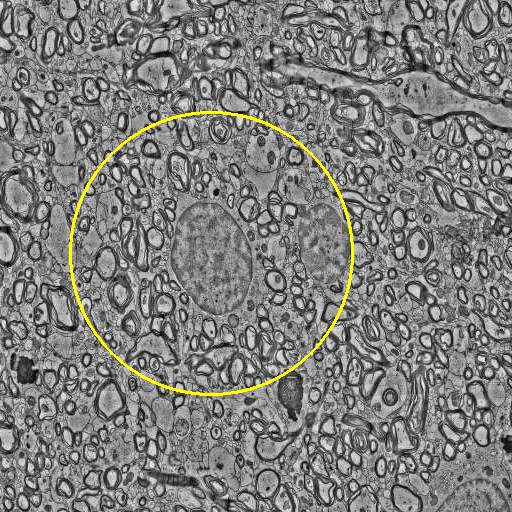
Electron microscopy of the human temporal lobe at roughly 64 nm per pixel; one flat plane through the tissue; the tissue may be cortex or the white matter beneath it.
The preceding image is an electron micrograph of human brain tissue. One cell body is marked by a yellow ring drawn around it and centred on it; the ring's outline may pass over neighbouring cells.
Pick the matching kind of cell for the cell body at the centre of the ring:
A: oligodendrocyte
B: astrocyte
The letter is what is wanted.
A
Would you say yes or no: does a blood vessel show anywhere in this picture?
No, there is no blood vessel in the image.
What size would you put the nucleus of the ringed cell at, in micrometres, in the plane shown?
About 7 by 5 micrometres in this plane.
